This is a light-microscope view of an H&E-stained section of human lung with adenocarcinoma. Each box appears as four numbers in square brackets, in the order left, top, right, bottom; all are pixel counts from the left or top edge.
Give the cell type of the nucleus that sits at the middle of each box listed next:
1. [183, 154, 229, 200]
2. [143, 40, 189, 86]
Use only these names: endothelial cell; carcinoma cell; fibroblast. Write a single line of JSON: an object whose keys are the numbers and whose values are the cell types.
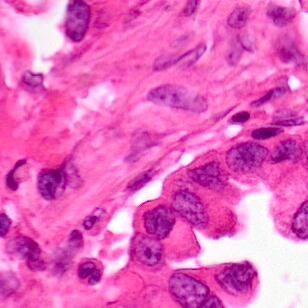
{"1": "carcinoma cell", "2": "fibroblast"}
